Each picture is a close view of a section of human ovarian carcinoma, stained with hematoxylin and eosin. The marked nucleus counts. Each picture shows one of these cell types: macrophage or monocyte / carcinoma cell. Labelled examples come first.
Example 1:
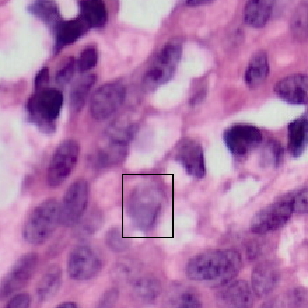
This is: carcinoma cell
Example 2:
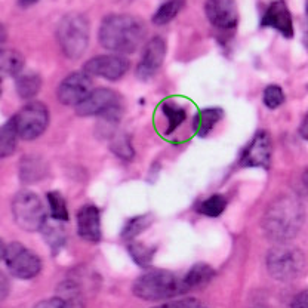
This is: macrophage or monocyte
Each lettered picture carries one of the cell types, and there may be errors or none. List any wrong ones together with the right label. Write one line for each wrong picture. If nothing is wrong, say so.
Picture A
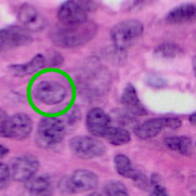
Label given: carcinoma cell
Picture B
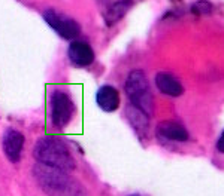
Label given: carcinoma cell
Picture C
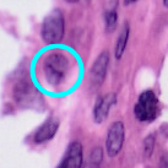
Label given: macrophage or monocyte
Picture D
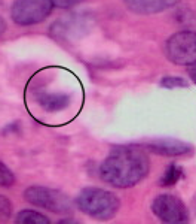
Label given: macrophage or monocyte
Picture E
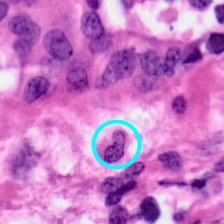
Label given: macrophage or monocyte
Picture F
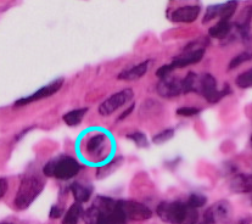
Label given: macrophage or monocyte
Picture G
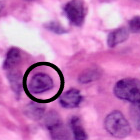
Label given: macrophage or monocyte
Nothing to fix; every label fits.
